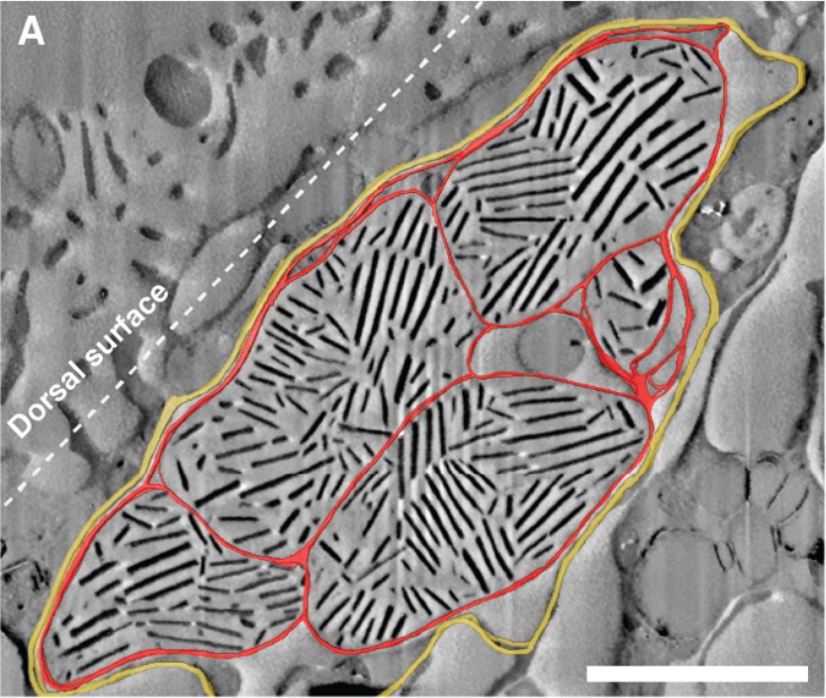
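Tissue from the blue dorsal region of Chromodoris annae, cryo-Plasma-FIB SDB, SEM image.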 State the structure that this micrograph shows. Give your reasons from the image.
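Electron dense crystals. Many thin, dark, elongated plate-like profiles fill the enclosed compartments. The dark profiles lie in parallel groups whose direction differs from group to group.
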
